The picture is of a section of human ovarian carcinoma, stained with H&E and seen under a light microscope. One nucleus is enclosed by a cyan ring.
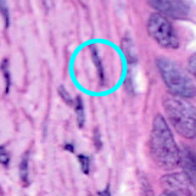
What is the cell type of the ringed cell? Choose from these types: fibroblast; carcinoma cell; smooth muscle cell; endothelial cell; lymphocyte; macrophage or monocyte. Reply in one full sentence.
In cellular terms, the ringed cell is a fibroblast.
